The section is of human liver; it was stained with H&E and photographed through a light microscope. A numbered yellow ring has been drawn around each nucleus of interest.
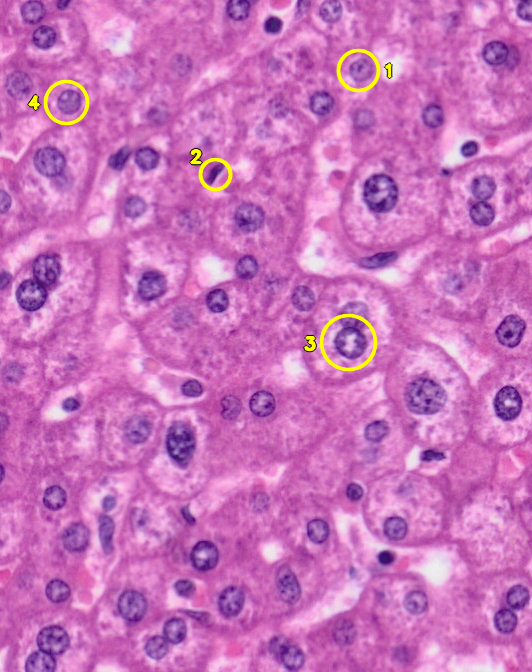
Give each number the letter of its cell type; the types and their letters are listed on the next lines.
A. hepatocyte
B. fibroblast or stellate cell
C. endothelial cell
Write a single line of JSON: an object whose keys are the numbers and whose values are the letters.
{"1": "A", "2": "C", "3": "A", "4": "A"}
